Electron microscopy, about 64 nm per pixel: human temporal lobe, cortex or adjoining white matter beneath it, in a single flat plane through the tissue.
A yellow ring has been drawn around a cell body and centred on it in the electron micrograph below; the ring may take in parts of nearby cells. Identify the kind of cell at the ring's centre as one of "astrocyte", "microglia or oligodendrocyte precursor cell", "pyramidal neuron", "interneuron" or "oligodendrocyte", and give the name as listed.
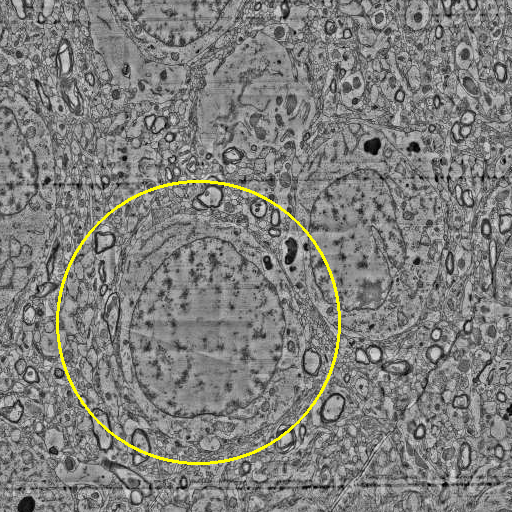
pyramidal neuron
